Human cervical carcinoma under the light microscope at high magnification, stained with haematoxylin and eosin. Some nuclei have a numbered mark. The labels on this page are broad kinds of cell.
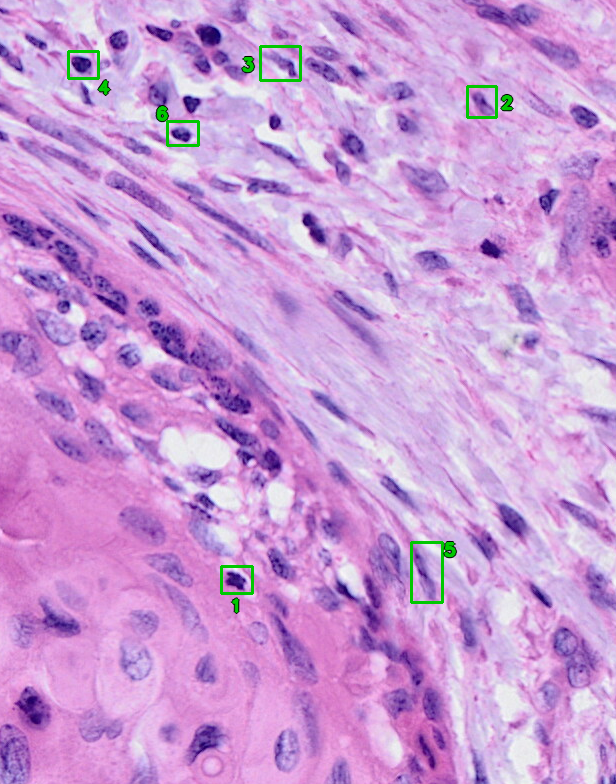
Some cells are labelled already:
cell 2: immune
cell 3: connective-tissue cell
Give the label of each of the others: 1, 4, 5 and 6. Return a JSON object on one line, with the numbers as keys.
{"1": "immune", "4": "immune", "5": "connective-tissue cell", "6": "immune"}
